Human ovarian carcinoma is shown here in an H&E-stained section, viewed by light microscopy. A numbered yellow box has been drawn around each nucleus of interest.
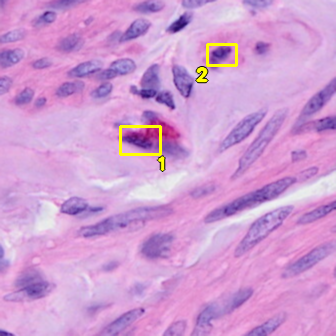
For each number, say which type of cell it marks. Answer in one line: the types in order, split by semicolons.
endothelial cell; smooth muscle cell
